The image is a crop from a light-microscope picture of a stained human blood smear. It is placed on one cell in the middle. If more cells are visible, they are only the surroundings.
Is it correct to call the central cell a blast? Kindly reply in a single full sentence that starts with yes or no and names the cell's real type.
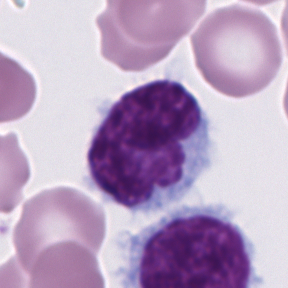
No, the cell in the middle of the field is a hairy cell, not a blast as suggested.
